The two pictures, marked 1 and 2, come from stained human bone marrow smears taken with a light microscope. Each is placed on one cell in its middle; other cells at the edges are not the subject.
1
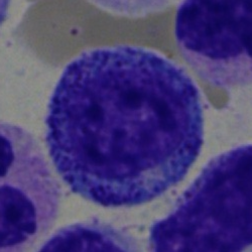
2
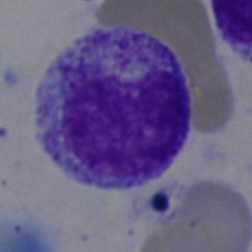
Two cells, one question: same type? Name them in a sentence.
No, a myelocyte is the cell of crop 2, while a promyelocyte is the cell of crop 1.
